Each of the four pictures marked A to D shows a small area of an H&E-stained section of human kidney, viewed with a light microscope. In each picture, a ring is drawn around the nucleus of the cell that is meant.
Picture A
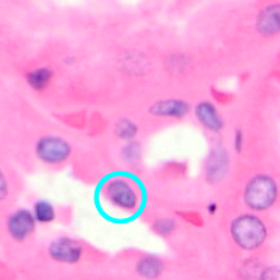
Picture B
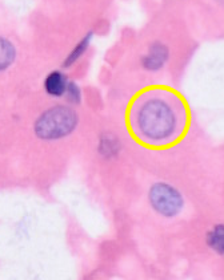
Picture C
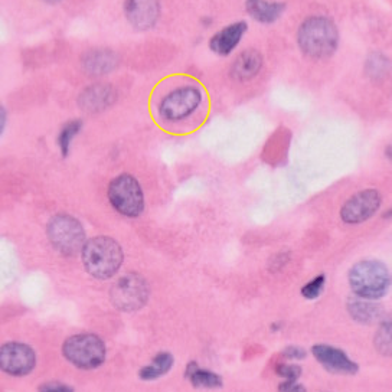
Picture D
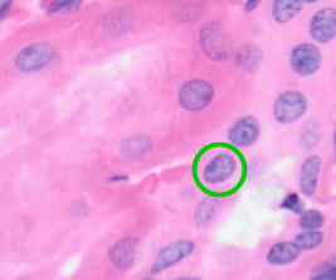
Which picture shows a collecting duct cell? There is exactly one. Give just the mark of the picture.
D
